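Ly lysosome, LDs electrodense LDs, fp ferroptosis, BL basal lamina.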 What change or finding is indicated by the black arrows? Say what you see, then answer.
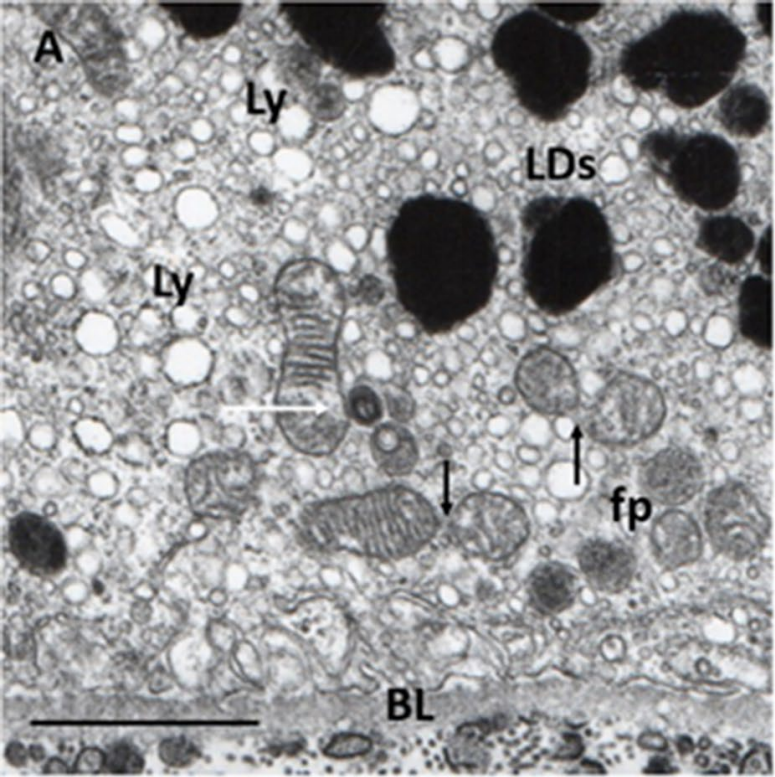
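Cristae are visible on both sides of each constriction. The answer: mitochondrial fission.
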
